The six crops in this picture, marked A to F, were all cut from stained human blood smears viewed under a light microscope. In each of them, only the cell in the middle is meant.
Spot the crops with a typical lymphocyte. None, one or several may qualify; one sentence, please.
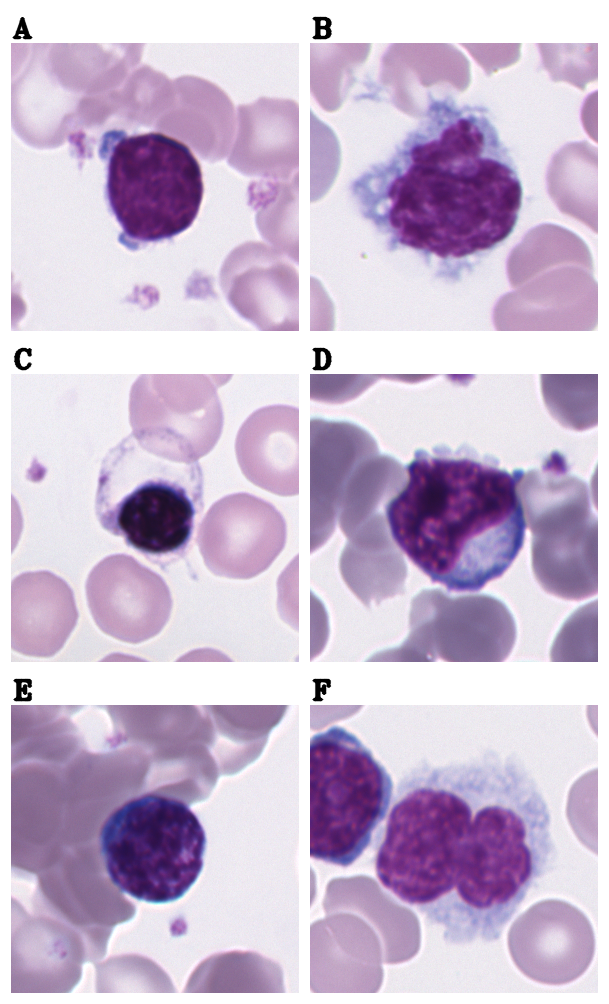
In crops A, D and E, typical lymphocytes occupy the centre.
